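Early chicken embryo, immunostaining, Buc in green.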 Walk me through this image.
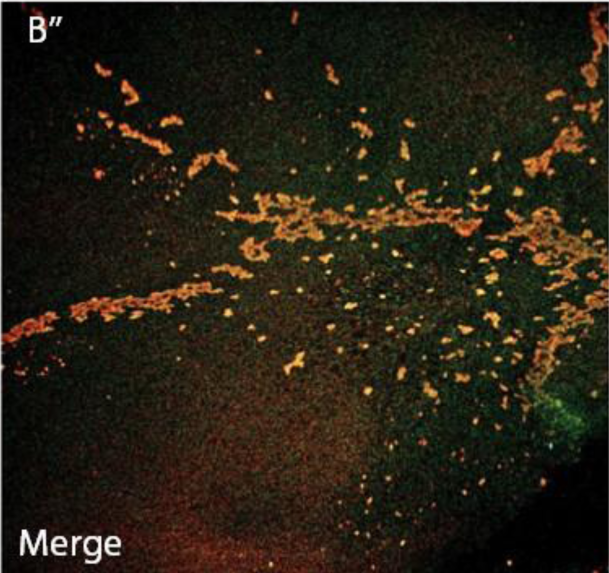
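At higher magnification, irregular orange-yellow clumps of granules form elongated bands across the field, with one band running diagonally from the left and others branching toward the right. Between and around the bands lie many separate small rounded or comma-shaped granules of the same colour, over a dim background.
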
